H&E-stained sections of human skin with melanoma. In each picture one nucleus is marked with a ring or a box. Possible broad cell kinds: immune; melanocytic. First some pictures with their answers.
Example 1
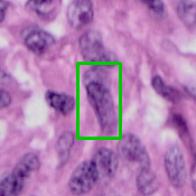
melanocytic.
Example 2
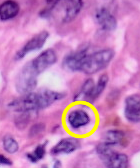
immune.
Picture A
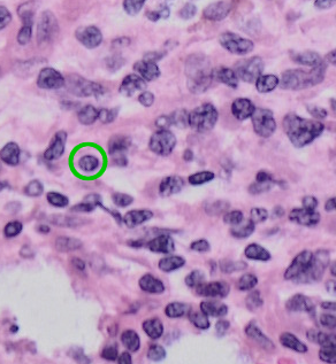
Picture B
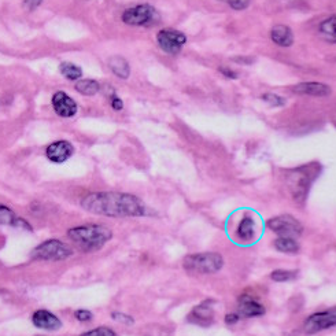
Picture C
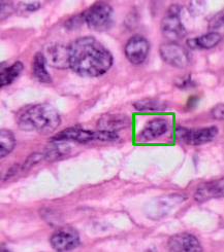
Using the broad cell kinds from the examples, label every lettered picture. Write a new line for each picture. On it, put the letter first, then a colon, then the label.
A: immune.
B: immune.
C: melanocytic.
